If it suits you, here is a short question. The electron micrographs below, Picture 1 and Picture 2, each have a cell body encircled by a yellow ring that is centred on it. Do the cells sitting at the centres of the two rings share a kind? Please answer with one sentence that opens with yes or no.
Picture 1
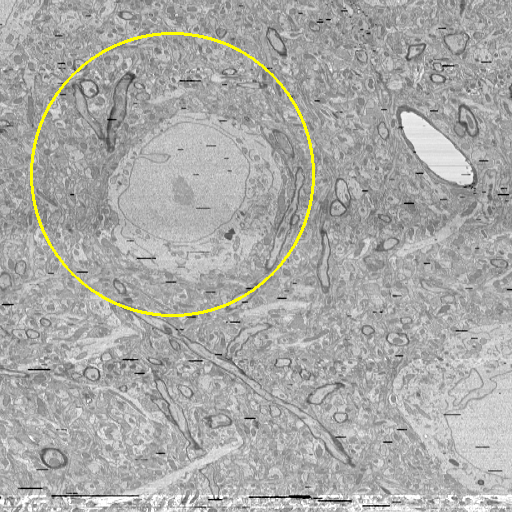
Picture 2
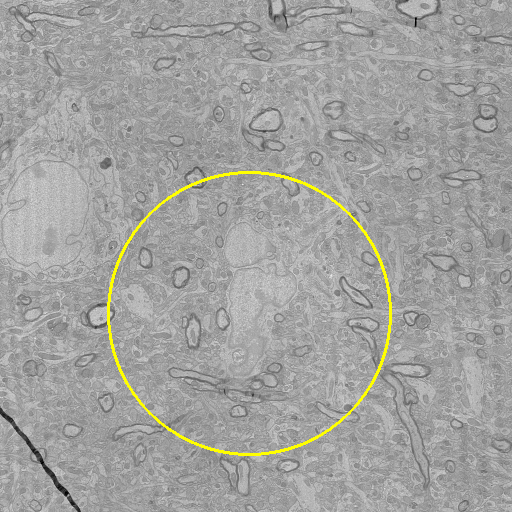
No, the two cells sitting at the ring centres fall into two kinds.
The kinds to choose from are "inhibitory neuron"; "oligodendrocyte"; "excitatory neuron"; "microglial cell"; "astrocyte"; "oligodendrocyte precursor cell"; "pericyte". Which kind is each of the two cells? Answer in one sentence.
Of the two, the first cell is an excitatory neuron and the second cell is an oligodendrocyte precursor cell.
